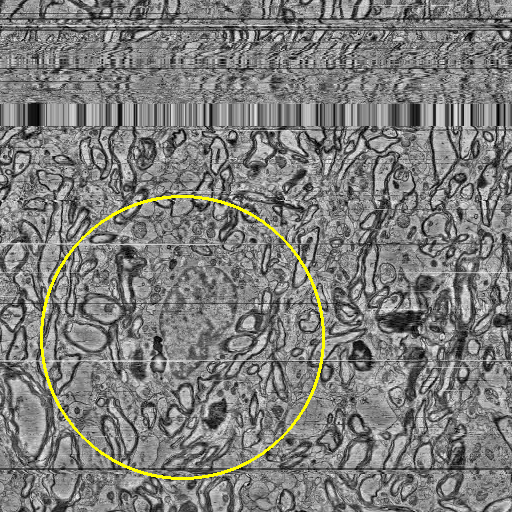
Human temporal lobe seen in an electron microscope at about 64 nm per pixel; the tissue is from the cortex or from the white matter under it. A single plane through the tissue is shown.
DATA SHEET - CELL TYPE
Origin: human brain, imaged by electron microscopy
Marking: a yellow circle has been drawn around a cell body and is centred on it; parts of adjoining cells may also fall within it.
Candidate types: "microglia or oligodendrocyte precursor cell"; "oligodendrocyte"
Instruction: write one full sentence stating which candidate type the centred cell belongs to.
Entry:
The cell body at the centre of the yellow ring in this micrograph belongs to an oligodendrocyte.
